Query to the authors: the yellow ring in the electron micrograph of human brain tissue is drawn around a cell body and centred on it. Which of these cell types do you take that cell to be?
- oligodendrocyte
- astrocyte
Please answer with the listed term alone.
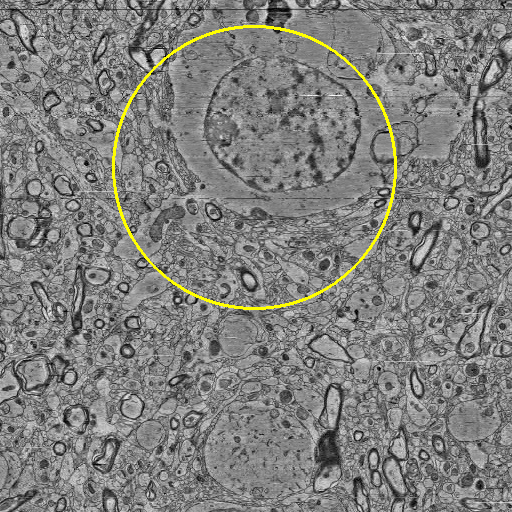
astrocyte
